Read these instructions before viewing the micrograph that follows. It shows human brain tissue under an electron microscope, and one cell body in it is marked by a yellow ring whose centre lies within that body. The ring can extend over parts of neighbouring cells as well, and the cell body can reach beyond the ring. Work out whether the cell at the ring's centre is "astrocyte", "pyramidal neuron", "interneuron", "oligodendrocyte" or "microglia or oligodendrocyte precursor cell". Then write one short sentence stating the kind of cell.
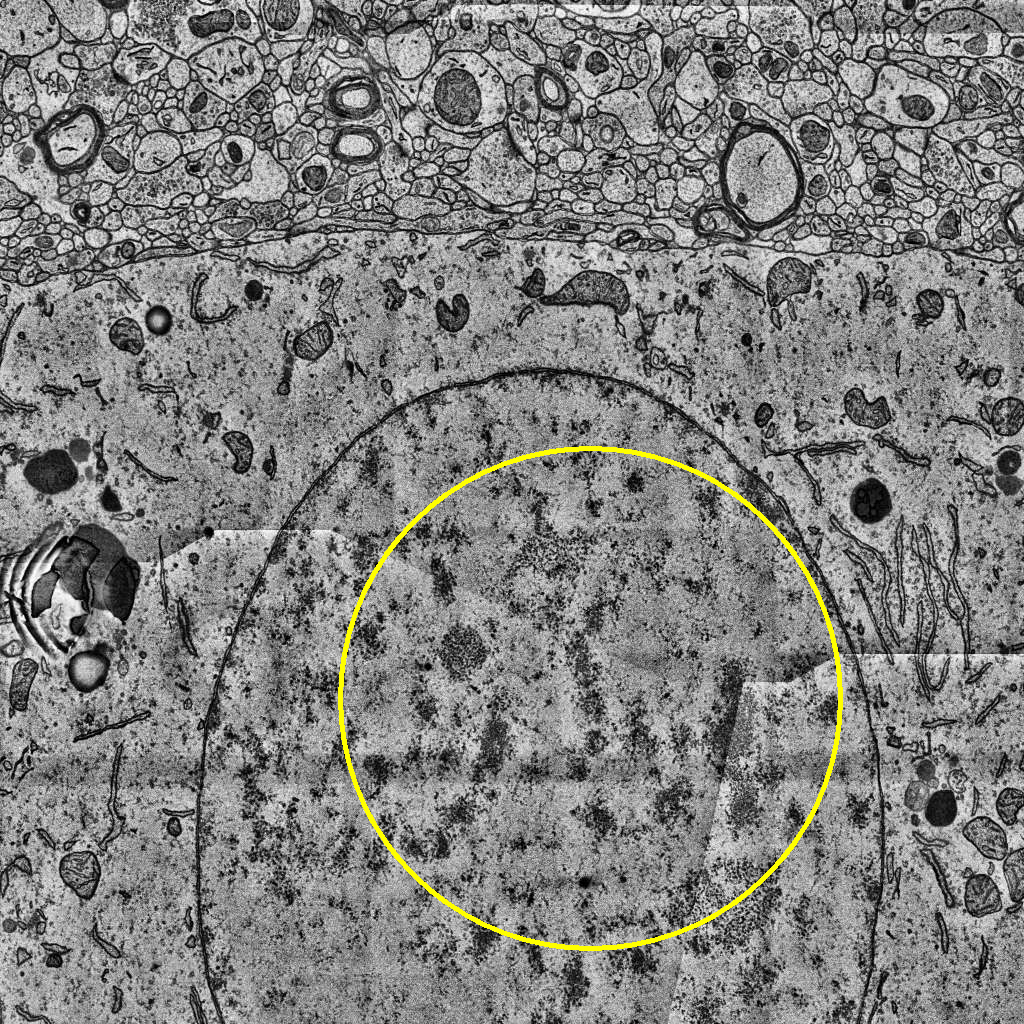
The cell at the ring's centre is a pyramidal neuron.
